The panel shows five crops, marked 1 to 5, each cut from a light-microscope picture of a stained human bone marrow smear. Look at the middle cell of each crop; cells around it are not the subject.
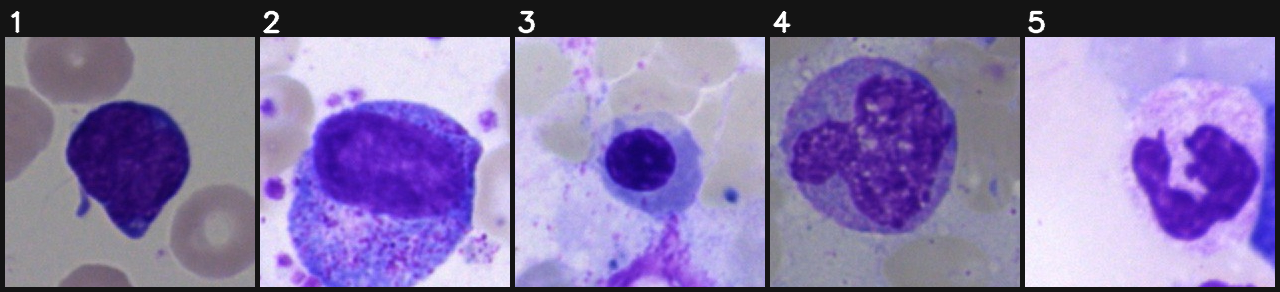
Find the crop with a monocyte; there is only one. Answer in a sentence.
Of the crops shown, crop 4 depicts a monocyte.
